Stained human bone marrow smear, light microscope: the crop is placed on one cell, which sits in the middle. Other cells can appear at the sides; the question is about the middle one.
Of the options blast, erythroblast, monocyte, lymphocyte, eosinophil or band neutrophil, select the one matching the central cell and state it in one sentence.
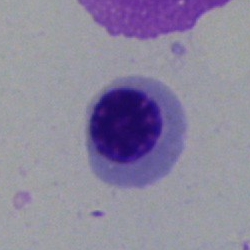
Answering briefly, the cell in the middle is an erythroblast.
